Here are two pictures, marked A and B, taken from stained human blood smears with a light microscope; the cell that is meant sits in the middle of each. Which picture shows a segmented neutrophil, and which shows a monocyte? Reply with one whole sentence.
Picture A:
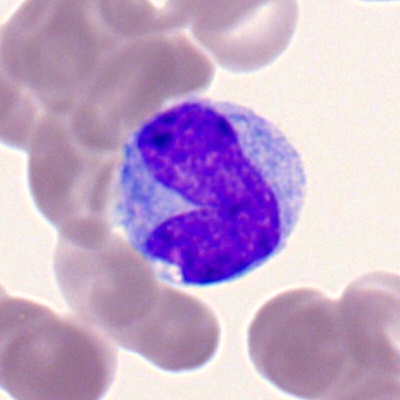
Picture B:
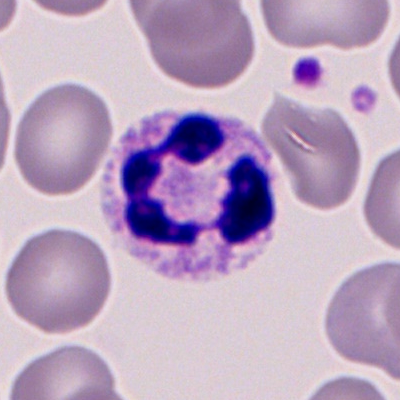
In picture A the cell is a monocyte; in picture B, a segmented neutrophil.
